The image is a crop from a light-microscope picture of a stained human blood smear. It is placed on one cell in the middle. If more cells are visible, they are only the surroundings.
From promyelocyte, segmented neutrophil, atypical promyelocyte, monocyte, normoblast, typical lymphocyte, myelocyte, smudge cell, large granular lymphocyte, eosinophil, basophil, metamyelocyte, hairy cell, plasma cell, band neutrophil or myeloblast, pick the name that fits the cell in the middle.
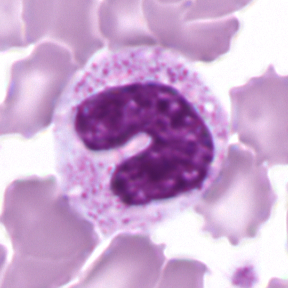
band neutrophil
